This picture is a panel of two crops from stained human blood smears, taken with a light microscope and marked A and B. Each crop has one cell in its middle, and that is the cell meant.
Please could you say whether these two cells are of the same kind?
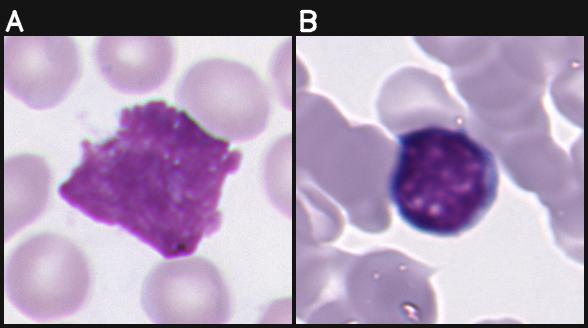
no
